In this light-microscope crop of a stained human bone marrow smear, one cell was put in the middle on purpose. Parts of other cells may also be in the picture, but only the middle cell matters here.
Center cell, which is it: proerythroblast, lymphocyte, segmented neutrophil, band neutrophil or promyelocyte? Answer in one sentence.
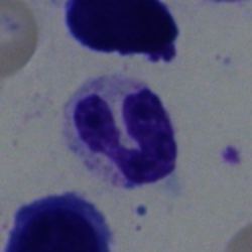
Looking at the middle of the crop, the cell there is a segmented neutrophil.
